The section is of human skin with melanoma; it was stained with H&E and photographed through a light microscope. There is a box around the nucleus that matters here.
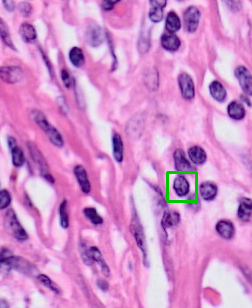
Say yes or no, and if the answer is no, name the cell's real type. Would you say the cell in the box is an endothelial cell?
No, it is a lymphocyte.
